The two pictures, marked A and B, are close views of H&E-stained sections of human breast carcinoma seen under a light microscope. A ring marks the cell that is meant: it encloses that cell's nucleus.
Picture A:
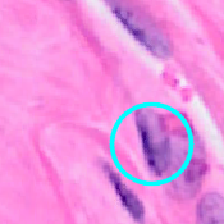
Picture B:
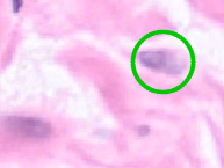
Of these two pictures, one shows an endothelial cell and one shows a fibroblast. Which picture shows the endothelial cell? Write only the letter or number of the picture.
A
